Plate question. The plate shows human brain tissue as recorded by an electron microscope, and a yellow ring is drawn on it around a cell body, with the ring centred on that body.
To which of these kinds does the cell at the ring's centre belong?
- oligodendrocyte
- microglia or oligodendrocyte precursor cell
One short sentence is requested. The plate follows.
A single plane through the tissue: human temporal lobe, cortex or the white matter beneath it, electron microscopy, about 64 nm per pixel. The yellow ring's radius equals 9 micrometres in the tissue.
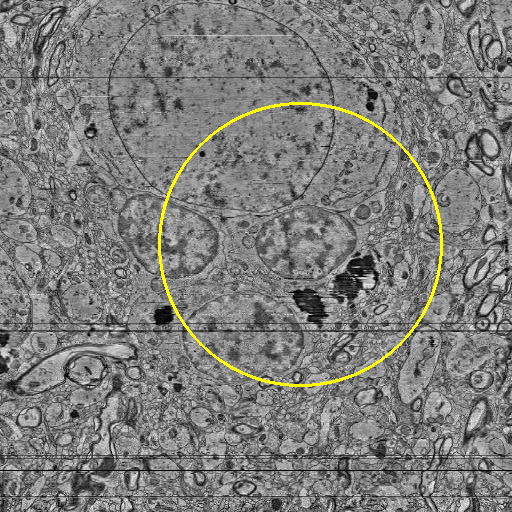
The cell at the ring's centre is an oligodendrocyte.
